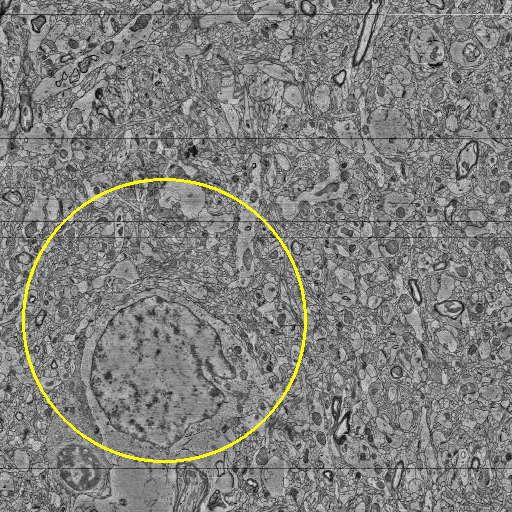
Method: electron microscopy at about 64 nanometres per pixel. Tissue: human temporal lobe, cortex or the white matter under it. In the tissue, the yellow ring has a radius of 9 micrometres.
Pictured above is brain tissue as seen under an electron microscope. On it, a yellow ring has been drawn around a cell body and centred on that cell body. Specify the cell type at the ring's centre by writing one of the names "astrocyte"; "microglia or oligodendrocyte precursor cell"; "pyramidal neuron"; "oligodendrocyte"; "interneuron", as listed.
interneuron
